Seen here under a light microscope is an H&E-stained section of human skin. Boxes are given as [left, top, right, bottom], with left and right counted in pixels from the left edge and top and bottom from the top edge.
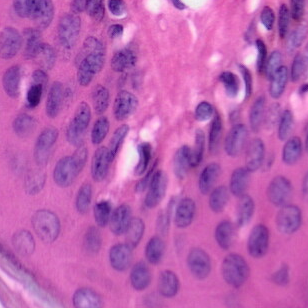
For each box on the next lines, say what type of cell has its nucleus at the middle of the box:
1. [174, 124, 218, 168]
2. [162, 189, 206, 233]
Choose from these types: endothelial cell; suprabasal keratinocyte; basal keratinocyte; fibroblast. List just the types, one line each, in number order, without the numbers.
basal keratinocyte
suprabasal keratinocyte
